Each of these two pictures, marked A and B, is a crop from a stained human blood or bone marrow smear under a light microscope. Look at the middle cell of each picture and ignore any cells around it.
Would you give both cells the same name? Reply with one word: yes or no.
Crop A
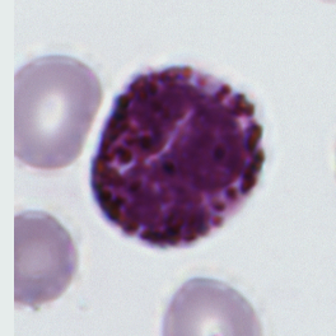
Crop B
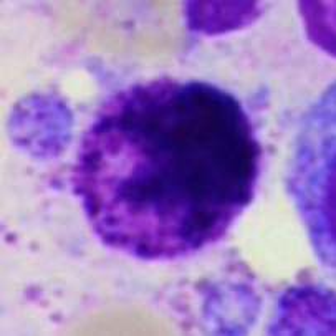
yes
